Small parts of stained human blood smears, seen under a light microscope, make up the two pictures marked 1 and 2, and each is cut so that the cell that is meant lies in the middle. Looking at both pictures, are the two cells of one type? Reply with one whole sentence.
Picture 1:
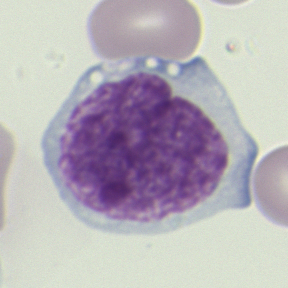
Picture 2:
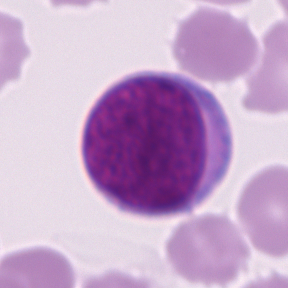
Yes, both cells are myeloblasts.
